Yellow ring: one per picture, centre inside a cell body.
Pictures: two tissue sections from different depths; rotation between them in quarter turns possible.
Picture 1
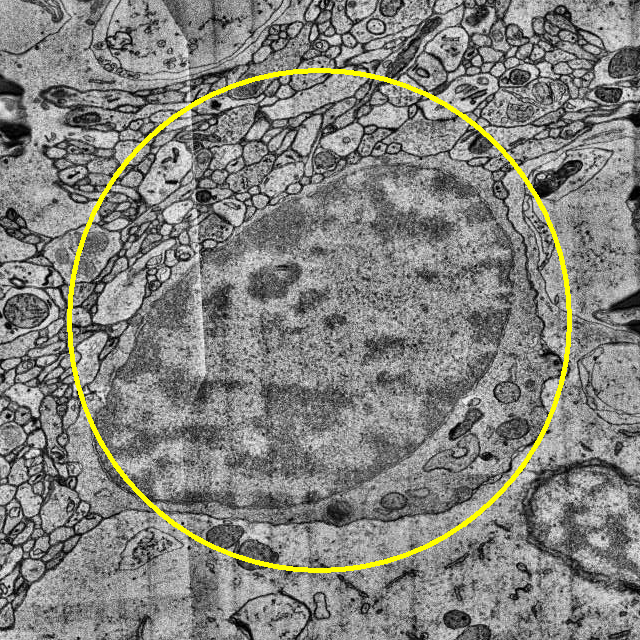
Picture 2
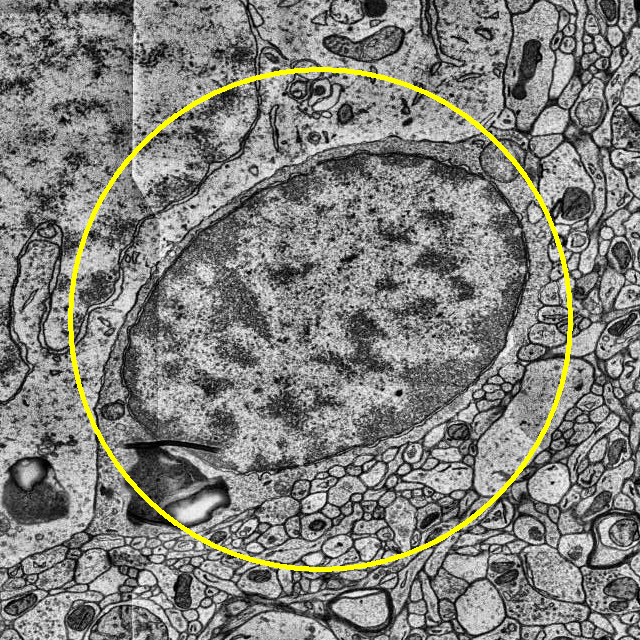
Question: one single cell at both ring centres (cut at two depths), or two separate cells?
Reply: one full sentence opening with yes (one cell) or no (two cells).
No, two separate cells are outlined by these yellow rings.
